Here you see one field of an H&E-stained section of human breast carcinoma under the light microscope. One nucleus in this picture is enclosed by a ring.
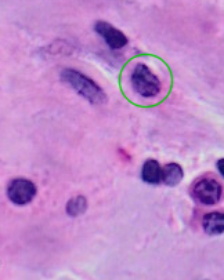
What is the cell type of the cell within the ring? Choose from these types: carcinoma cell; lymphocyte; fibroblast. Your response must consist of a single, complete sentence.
In this field of tissue, the cell within the ring is a lymphocyte.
